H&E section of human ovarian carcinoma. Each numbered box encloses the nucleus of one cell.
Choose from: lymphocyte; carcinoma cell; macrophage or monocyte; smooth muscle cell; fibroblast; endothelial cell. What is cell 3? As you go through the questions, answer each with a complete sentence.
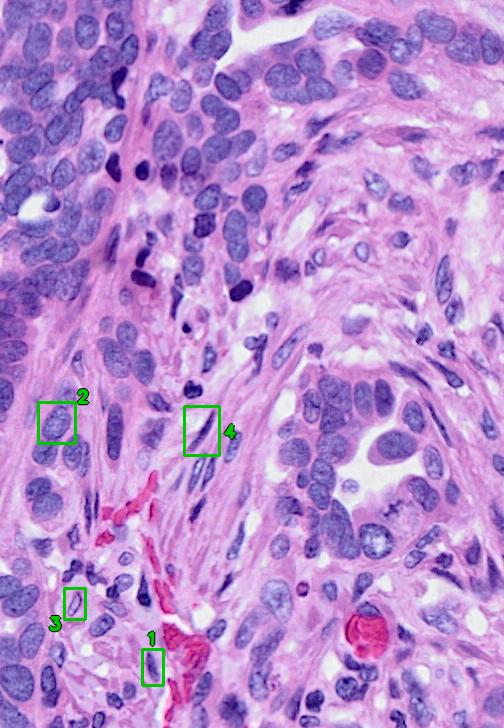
The cell carrying label 3 is identified as a fibroblast.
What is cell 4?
Numbered cell 4 is a fibroblast in this tissue section.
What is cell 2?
In the tissue shown, cell 2 is a carcinoma cell.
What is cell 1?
Classified as a fibroblast is the cell with the number 1.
